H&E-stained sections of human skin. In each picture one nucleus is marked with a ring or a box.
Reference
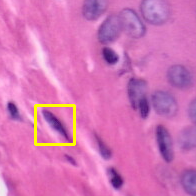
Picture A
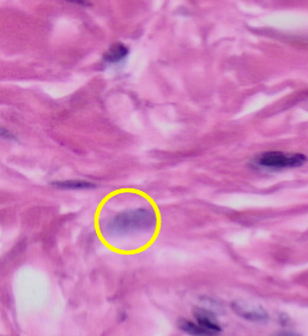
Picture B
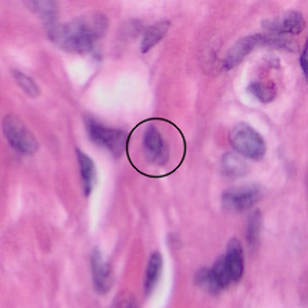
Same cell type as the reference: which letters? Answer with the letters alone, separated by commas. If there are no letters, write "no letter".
A, B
